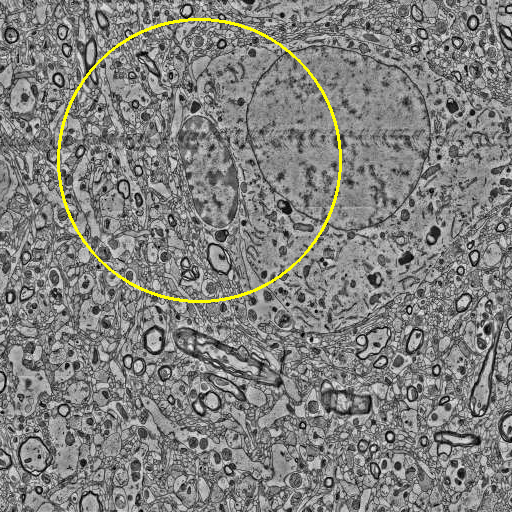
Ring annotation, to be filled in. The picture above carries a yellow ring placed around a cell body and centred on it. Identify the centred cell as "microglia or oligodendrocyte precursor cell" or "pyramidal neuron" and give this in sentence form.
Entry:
The cell in the middle of the ring is a microglial cell or oligodendrocyte precursor cell.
